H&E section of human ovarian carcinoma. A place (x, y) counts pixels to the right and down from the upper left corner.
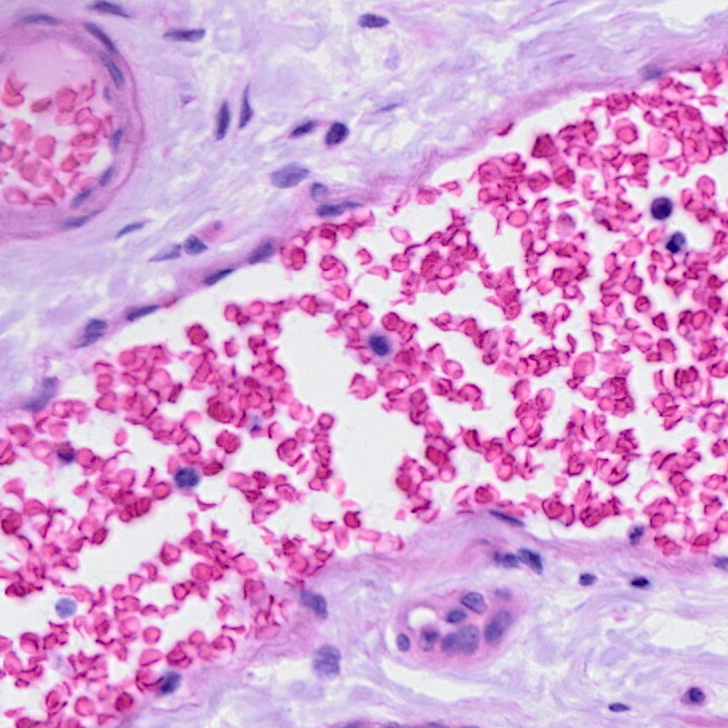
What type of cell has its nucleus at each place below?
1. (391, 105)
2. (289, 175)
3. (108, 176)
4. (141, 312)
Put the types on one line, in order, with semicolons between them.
fibroblast; fibroblast; endothelial cell; endothelial cell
